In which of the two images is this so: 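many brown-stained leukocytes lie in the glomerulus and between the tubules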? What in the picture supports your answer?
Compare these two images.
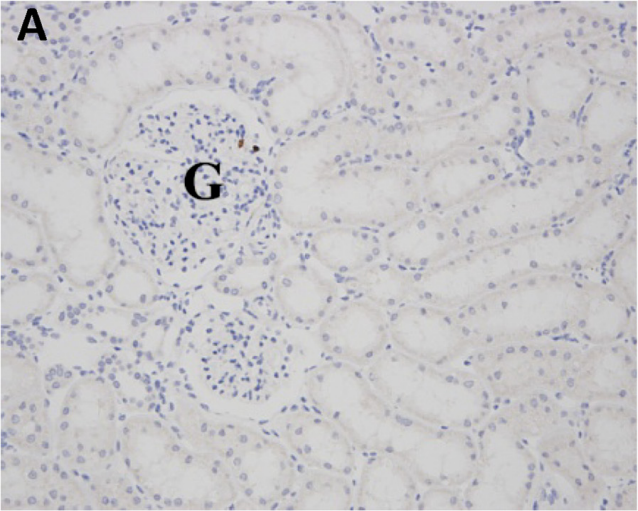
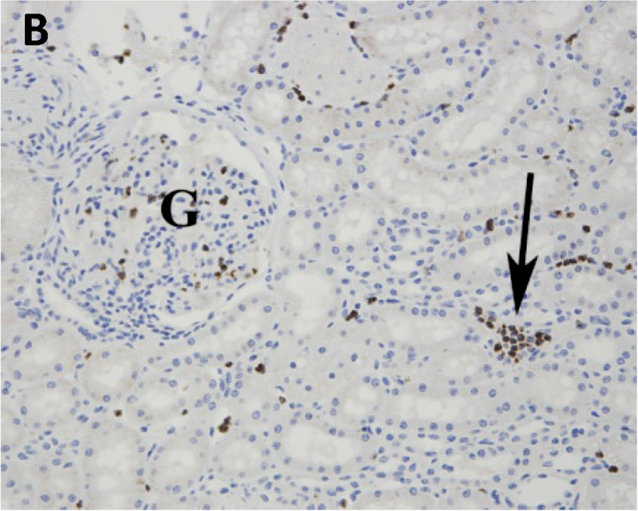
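Second image: numerous dark brown cells are scattered through the glomerulus and between tubules, with a cluster in the interstitium. First image: tissue is almost entirely blue, with only one or two brown cells in the glomerulus. So: the second image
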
